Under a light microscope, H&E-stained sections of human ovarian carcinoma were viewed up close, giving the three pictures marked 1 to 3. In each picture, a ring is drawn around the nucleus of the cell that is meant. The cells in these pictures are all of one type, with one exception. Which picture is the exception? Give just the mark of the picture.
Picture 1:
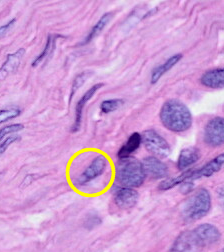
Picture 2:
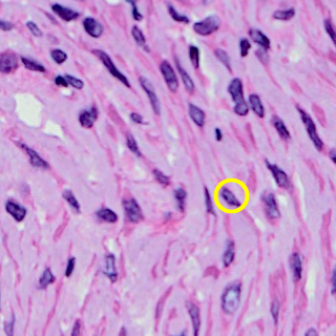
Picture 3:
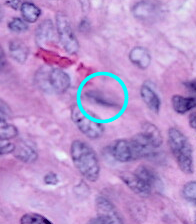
3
